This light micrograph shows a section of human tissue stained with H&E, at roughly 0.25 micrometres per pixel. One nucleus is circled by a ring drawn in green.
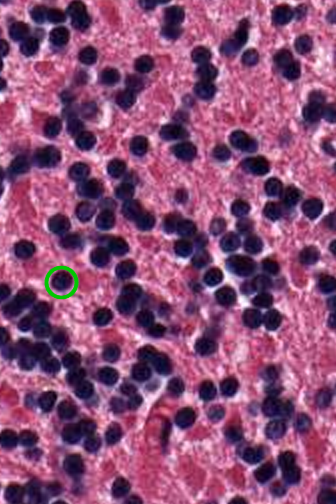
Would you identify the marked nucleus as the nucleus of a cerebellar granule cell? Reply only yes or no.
yes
